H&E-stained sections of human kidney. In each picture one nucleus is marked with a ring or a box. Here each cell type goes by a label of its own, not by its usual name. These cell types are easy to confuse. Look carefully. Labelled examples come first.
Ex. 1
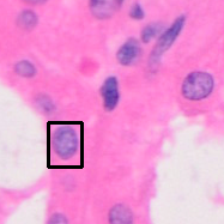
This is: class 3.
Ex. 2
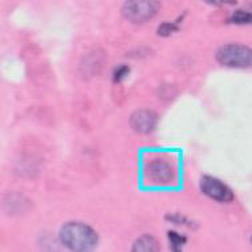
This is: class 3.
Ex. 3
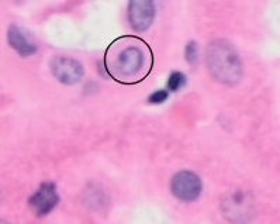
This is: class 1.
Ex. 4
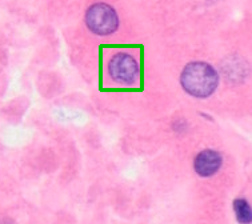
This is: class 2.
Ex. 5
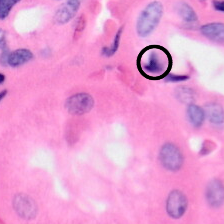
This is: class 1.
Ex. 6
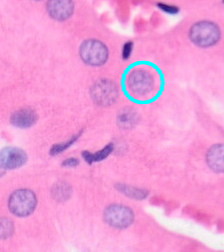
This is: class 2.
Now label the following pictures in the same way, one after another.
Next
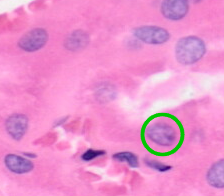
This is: class 2.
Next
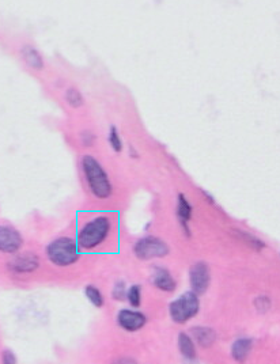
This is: class 1.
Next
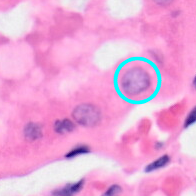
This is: class 2.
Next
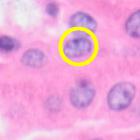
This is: class 1.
